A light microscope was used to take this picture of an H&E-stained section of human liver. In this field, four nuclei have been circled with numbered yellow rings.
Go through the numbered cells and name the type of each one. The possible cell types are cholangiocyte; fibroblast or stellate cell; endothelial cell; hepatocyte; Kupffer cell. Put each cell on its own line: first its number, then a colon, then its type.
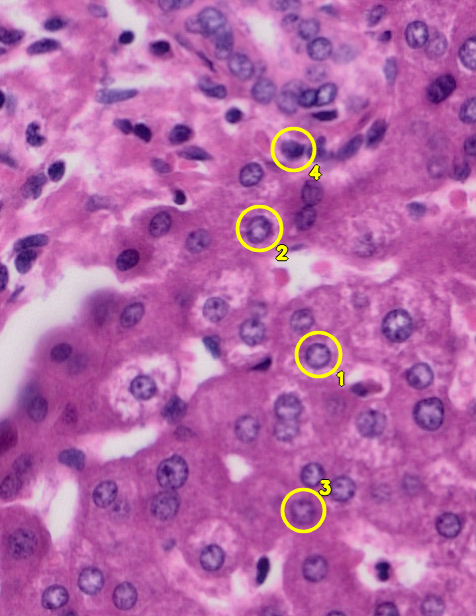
1: hepatocyte
2: hepatocyte
3: hepatocyte
4: fibroblast or stellate cell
